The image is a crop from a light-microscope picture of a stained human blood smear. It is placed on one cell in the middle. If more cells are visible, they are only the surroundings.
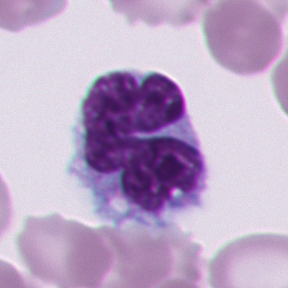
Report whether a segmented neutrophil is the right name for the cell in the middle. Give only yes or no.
no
